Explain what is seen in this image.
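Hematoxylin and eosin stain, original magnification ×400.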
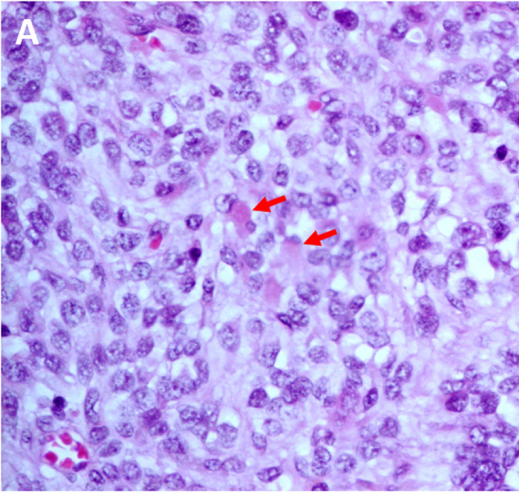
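This is a small round cell tumour made of closely packed, primitive-looking cells growing mainly in solid sheets. Their nuclei are round to oval, purple, with finely granular chromatin and small nucleoli, and most cells have only scant pale cytoplasm. Scattered among them are occasional cells with more abundant bright pink cytoplasm, consistent with rhabdomyoblasts. A small vessel filled with red blood cells lies near the lower left corner, and a few dark, condensed nuclei are scattered through the sheet.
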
